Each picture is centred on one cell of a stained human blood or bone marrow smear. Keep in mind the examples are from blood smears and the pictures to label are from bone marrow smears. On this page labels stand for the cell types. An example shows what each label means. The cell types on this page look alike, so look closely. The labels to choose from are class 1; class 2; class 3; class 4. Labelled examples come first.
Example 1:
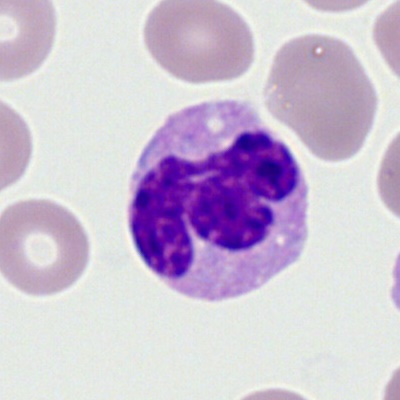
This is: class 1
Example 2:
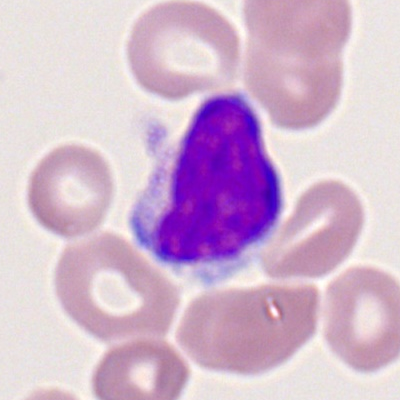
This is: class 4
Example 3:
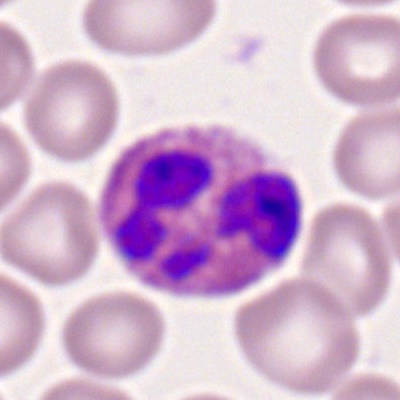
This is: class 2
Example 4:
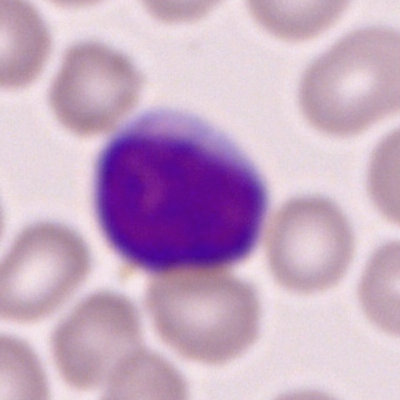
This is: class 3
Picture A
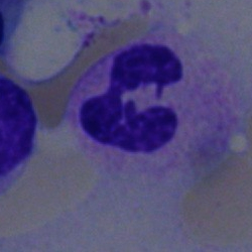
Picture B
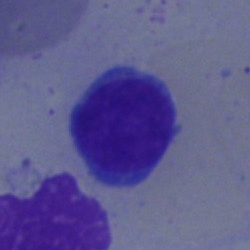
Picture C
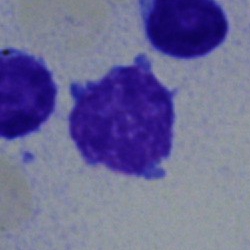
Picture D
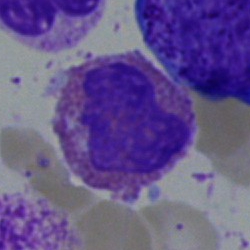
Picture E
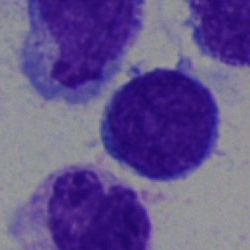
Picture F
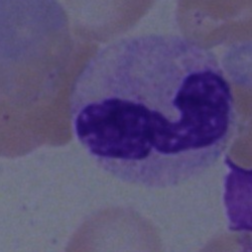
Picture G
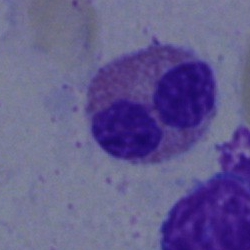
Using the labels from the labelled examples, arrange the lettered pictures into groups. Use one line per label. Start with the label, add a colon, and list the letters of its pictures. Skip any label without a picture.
class 1: A, F
class 2: D, G
class 3: E
class 4: B, C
